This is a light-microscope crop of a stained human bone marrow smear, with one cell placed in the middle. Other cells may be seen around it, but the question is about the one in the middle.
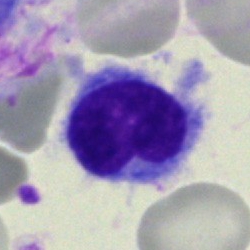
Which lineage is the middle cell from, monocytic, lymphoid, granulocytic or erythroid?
lymphoid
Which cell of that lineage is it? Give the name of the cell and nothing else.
hairy cell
